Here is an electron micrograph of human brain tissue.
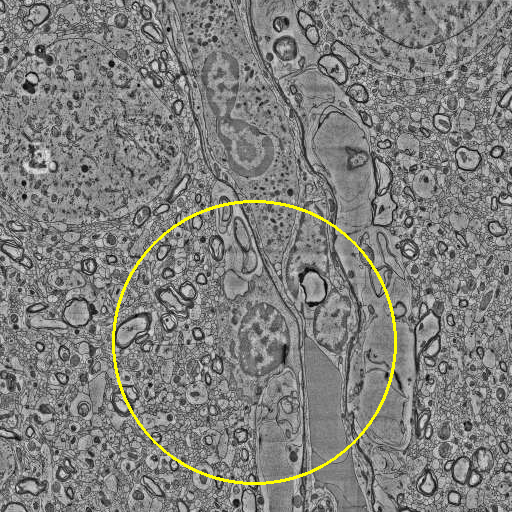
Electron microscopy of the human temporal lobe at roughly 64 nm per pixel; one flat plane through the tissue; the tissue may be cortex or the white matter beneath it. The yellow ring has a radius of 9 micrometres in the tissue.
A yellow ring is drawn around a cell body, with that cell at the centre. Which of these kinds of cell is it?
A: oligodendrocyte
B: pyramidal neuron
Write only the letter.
A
